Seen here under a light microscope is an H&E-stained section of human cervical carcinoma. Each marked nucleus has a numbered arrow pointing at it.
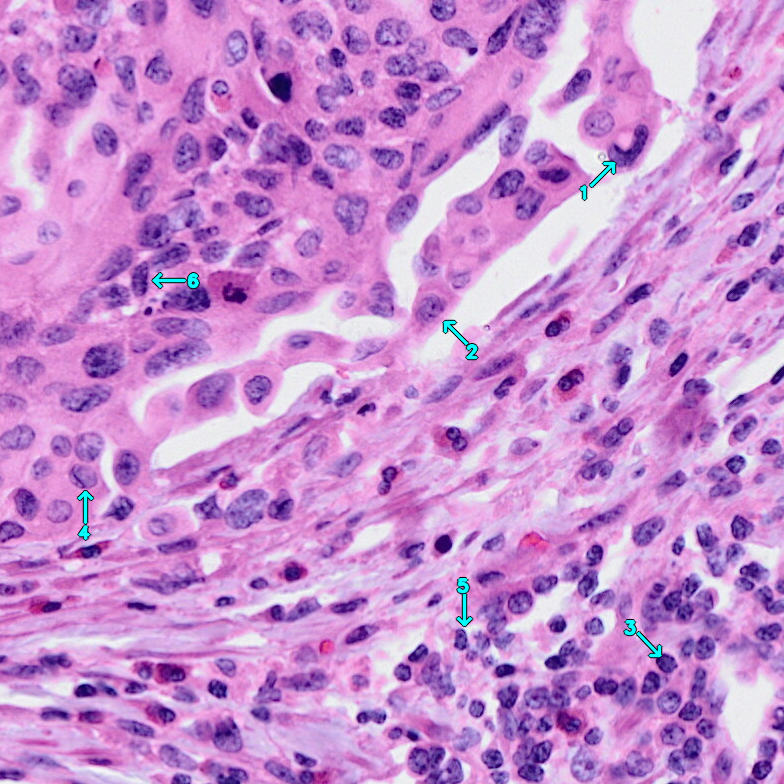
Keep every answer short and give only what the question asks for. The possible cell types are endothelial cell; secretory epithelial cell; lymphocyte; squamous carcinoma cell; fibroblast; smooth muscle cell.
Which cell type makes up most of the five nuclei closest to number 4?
squamous carcinoma cell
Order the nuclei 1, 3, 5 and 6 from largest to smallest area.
1, 6, 3, 5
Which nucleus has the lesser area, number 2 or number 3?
3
